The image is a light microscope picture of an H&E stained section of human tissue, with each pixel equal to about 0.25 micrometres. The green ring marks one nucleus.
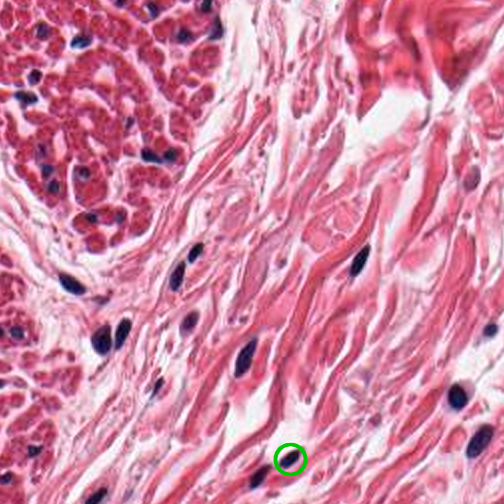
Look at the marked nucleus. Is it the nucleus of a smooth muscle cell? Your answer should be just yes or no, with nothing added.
no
